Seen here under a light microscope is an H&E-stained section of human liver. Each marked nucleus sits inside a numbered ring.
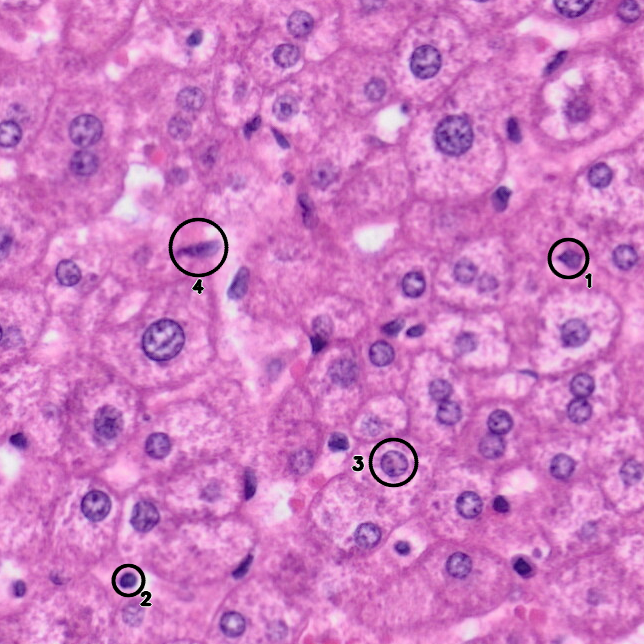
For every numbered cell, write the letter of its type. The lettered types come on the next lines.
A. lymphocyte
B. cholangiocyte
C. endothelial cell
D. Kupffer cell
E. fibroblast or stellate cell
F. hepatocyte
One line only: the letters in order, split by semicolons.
C; A; F; D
